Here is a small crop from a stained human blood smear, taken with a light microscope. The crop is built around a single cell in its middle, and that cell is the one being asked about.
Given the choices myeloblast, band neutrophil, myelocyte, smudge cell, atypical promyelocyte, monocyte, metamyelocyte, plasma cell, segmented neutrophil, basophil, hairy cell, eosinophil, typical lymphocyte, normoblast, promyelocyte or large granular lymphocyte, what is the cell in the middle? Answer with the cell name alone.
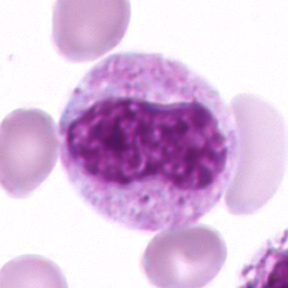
metamyelocyte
